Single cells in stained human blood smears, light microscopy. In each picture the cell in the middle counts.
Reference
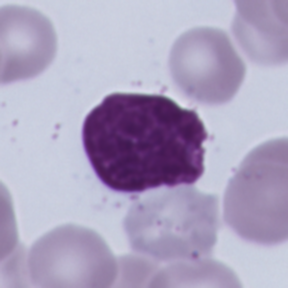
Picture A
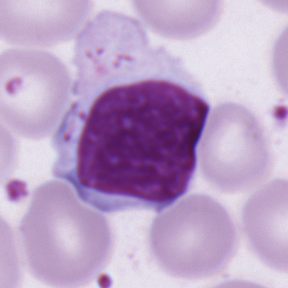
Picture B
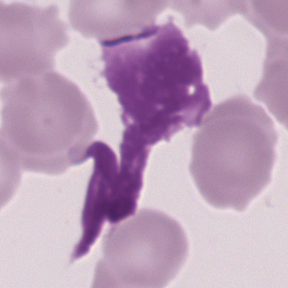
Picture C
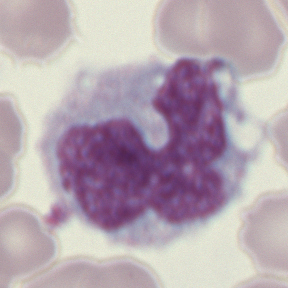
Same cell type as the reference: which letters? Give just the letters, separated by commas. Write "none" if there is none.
B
